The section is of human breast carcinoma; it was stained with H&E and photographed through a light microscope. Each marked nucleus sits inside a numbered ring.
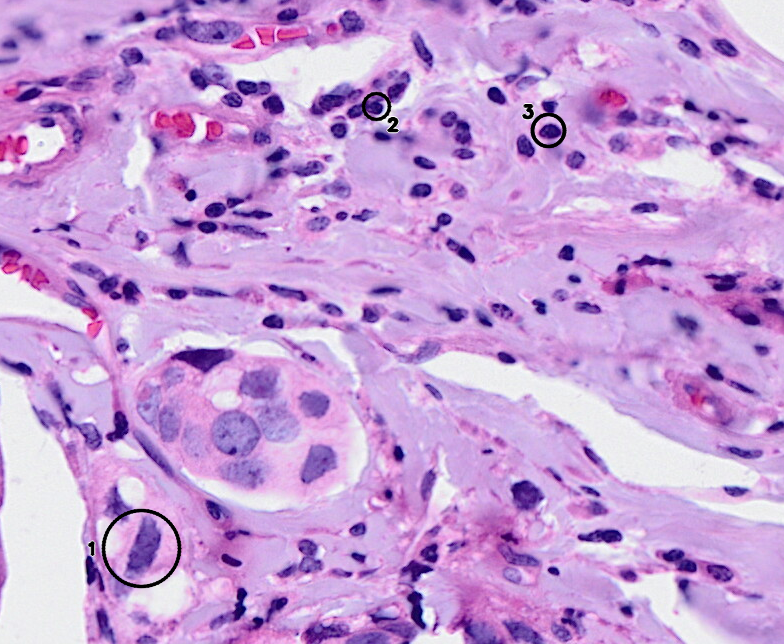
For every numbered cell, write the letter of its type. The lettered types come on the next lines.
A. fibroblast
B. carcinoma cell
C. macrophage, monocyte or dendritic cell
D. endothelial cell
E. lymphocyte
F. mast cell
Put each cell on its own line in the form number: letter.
1: B
2: E
3: E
